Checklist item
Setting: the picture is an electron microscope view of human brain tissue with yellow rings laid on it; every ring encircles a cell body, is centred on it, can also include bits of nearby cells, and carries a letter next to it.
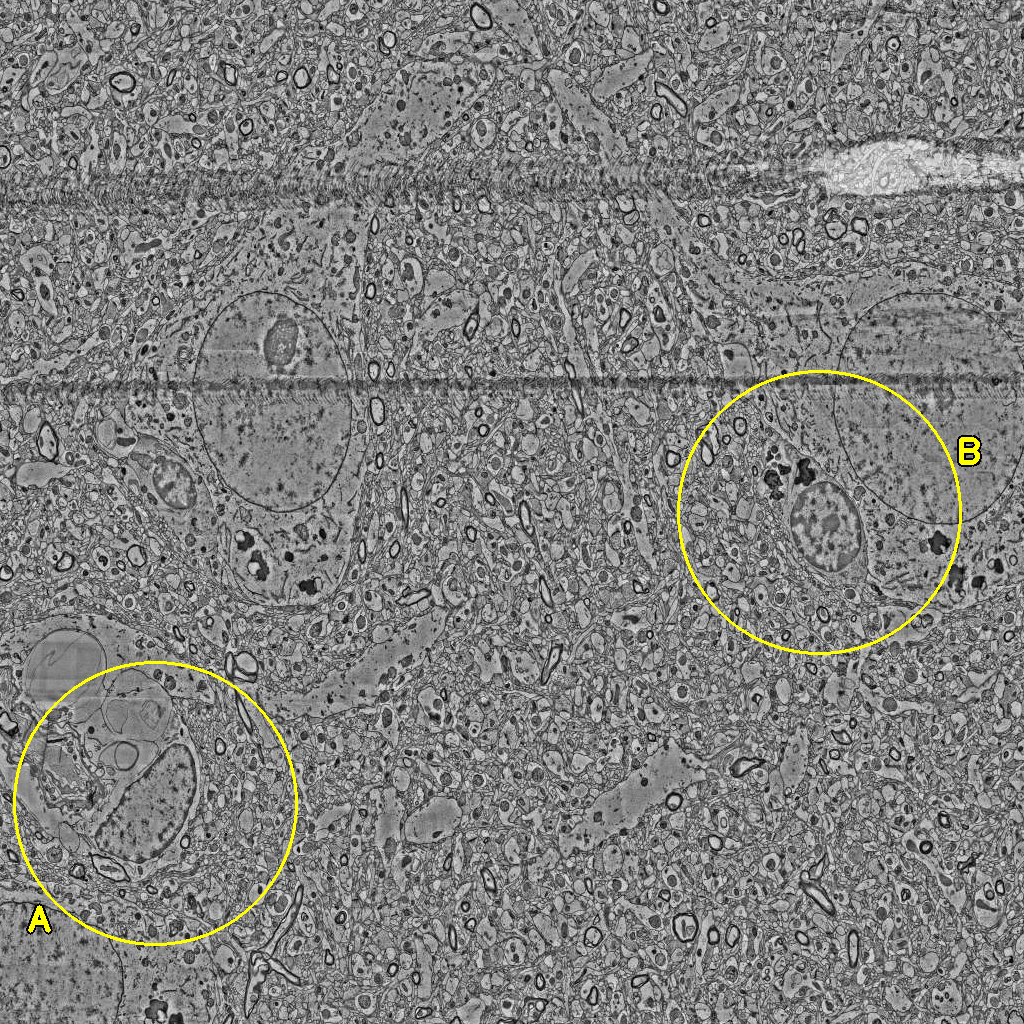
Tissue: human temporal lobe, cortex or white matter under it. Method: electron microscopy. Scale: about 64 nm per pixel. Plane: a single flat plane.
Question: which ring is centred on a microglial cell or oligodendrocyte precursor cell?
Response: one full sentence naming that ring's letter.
My response is that ring A has the sought cell at its centre.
